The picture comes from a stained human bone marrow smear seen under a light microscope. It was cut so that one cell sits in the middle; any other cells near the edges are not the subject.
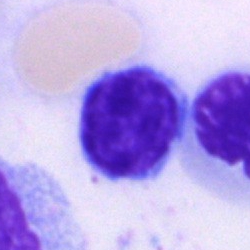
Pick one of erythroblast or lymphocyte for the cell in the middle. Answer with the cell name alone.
lymphocyte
